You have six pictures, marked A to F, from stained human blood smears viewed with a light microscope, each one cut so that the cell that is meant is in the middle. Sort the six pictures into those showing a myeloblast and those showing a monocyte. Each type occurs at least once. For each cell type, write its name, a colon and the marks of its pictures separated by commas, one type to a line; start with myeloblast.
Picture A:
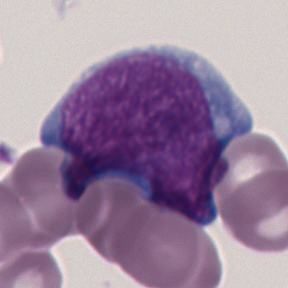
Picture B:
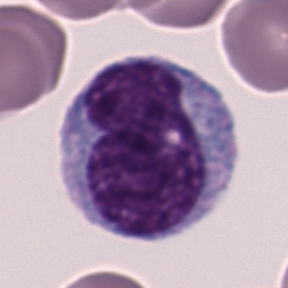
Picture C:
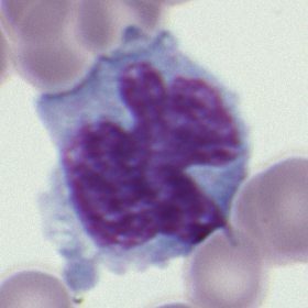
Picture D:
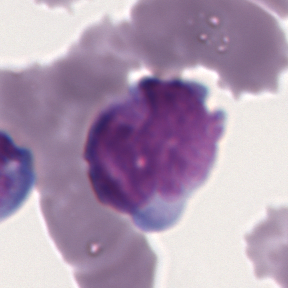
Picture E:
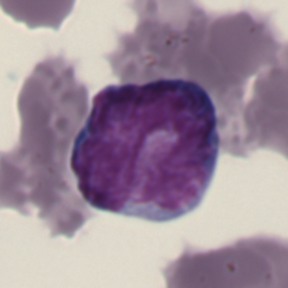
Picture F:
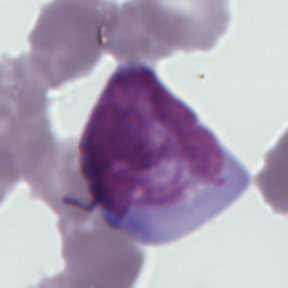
myeloblast: A, D, E, F
monocyte: B, C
